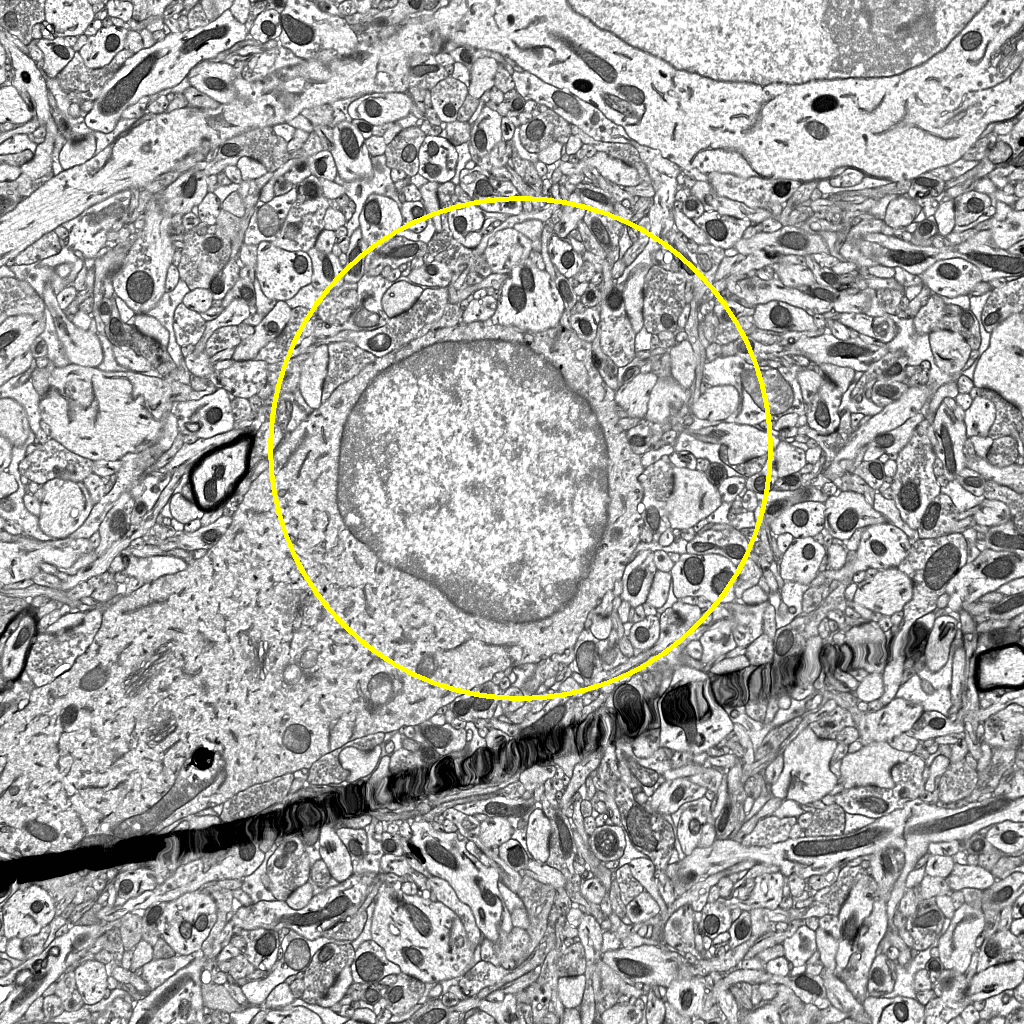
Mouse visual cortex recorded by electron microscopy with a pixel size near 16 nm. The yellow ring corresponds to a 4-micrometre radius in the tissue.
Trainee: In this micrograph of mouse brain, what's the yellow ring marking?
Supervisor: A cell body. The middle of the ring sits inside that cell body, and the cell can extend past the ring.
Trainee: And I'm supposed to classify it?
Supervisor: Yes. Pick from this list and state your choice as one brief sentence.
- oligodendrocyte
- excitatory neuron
The cell at the ring's center is an oligodendrocyte.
